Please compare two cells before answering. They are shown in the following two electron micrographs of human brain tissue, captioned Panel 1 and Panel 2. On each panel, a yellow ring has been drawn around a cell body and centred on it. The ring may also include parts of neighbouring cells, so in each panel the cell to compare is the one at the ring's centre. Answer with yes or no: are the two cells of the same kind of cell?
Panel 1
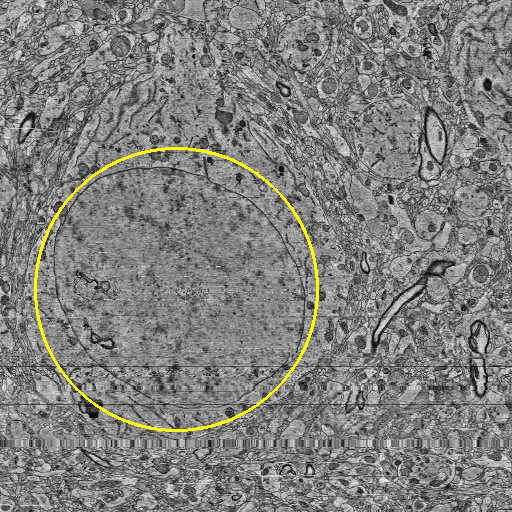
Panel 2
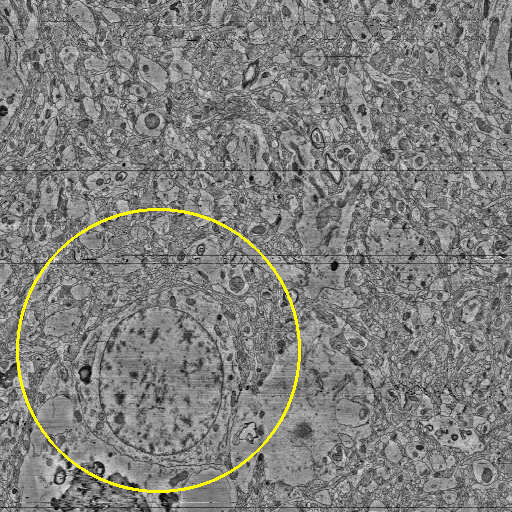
yes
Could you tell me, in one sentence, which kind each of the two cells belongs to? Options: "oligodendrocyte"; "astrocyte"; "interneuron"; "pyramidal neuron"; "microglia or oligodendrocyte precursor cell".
The first and the second cell are each a pyramidal neuron.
